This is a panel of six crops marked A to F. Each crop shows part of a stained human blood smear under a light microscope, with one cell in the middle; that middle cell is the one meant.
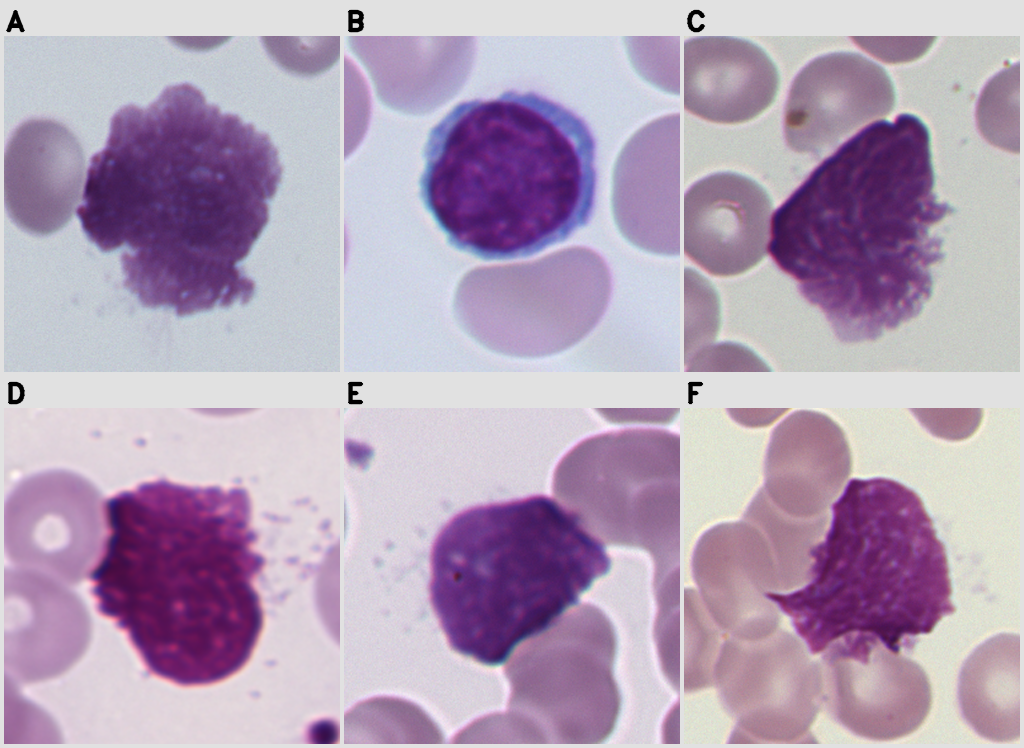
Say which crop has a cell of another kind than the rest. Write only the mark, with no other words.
B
